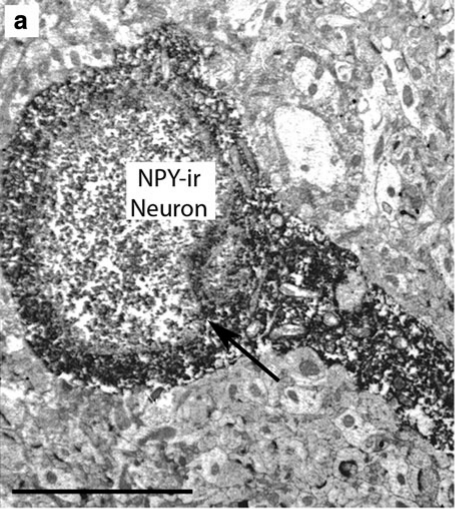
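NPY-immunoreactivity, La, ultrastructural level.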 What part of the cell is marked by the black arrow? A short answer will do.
Indented nuclei.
